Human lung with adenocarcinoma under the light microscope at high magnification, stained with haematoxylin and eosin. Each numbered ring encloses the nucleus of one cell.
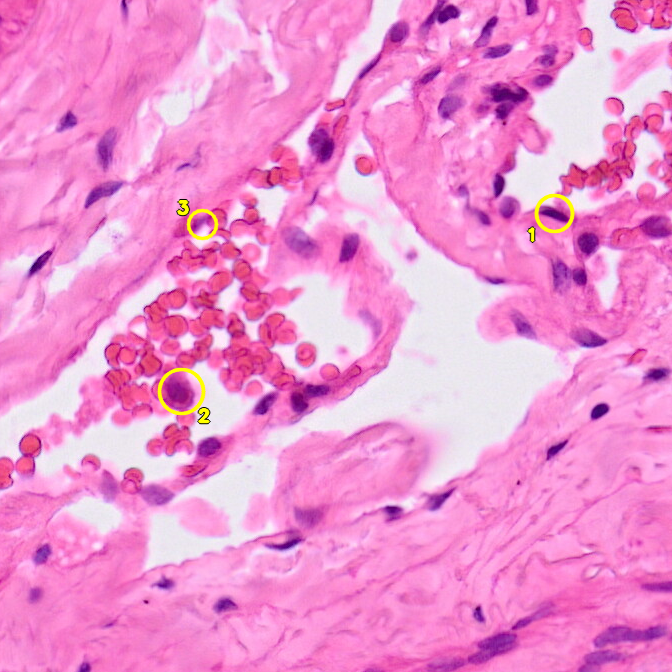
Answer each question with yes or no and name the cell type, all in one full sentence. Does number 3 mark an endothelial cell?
Yes, cell number 3 is identified here as an endothelial cell.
